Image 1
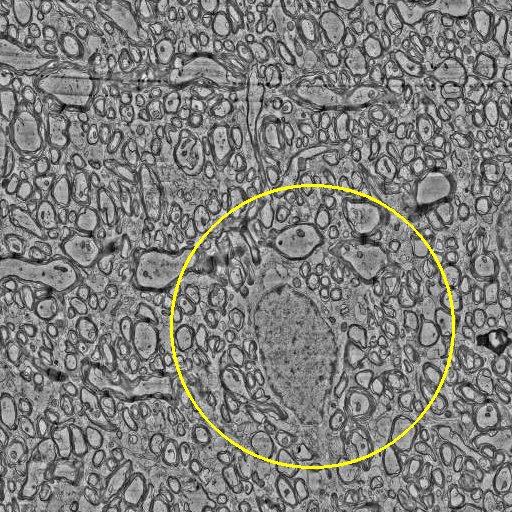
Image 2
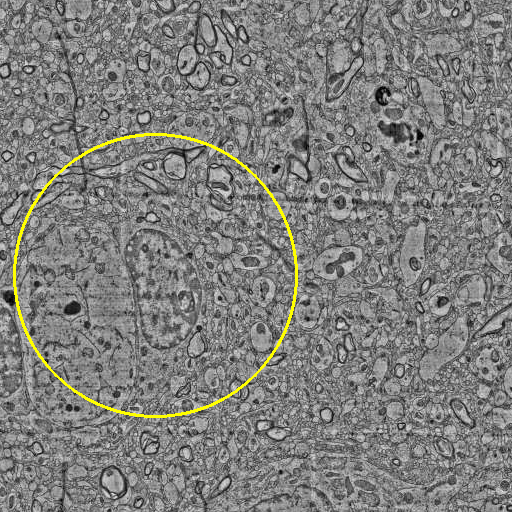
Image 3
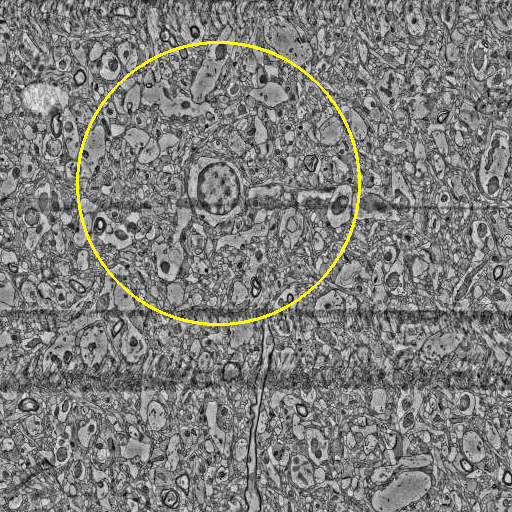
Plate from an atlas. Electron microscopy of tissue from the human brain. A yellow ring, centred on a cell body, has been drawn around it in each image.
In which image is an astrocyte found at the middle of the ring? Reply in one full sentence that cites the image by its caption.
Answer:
The requested cell is the one at the ring's centre in Image 1.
